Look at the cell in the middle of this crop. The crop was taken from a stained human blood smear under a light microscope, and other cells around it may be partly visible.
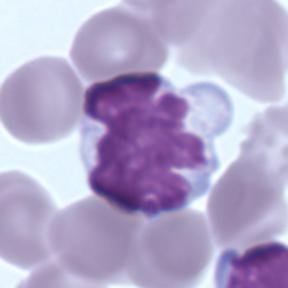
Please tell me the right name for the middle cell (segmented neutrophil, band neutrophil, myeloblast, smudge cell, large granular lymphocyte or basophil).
large granular lymphocyte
